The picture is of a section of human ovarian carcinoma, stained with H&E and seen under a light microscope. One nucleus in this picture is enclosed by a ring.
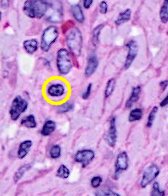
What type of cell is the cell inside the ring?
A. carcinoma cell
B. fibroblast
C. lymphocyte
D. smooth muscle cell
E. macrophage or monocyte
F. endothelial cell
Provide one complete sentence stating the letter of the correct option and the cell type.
Option C names the cell inside the ring correctly as a lymphocyte.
